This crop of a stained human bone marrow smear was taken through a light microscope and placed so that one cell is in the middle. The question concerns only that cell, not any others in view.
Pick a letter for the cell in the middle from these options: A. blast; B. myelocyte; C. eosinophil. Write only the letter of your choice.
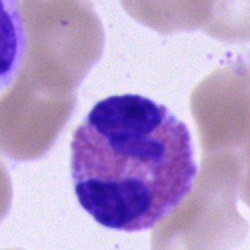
C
